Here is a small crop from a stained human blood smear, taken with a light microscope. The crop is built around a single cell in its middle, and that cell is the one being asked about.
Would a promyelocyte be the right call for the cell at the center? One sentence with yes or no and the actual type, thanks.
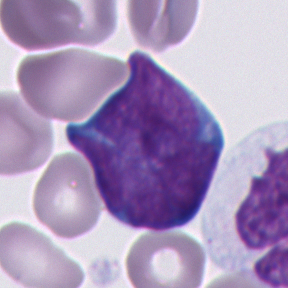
No, the cell located centrally is a blast rather than a promyelocyte.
